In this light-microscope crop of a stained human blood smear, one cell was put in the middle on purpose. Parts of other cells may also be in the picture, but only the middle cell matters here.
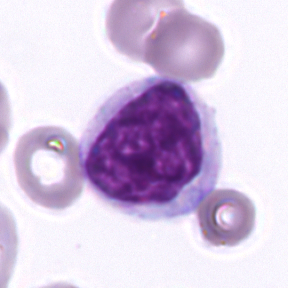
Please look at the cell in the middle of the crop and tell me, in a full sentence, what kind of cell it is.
Where the crop is centred, there is a metamyelocyte.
